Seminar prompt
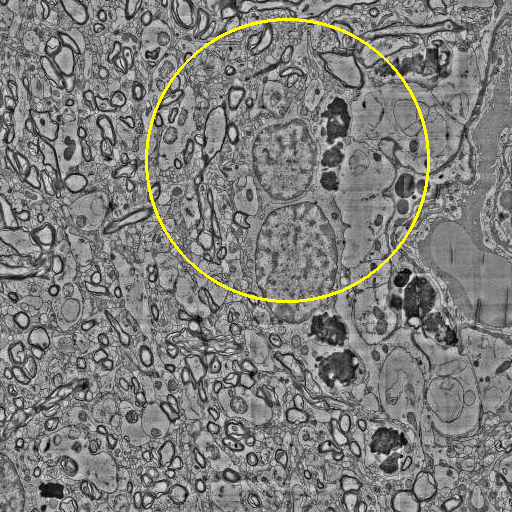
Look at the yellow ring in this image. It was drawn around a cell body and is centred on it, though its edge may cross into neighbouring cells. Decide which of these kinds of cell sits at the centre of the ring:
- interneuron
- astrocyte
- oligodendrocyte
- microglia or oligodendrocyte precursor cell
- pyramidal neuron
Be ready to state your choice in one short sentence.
The kind of cell at the ring's centre is an oligodendrocyte.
